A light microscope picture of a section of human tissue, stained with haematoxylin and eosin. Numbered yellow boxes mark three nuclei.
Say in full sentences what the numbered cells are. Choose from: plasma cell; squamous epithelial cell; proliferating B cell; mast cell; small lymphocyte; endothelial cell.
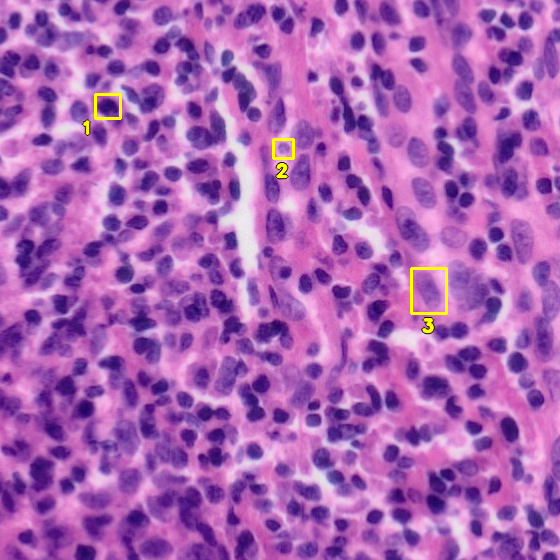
Cell 1 is a plasma cell, cell 2 is an endothelial cell and cell 3 is an endothelial cell.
